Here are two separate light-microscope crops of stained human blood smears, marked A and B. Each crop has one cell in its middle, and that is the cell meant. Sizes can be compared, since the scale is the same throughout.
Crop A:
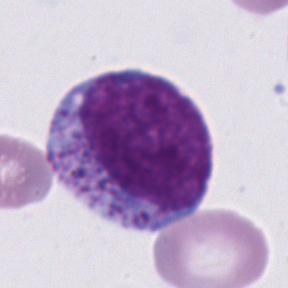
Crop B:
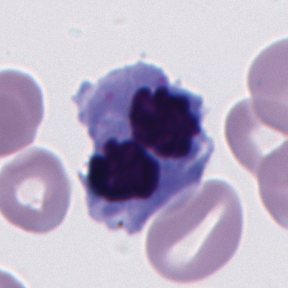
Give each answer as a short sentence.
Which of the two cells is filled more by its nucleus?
In crop A the nucleus takes up the larger part of its cell.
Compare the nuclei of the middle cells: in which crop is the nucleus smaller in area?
Crop B shows the smaller nucleus, since that in crop A covers about 2 times as much area.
